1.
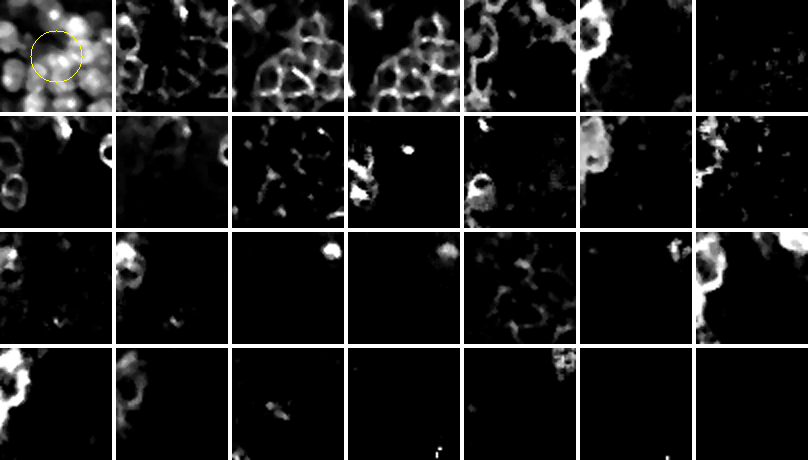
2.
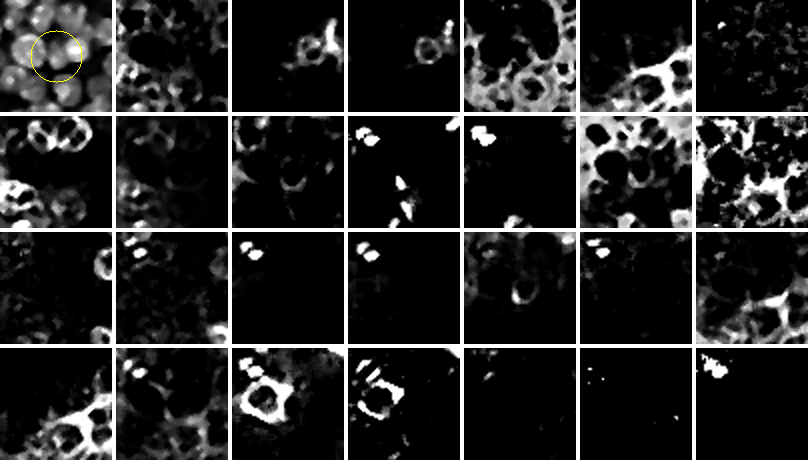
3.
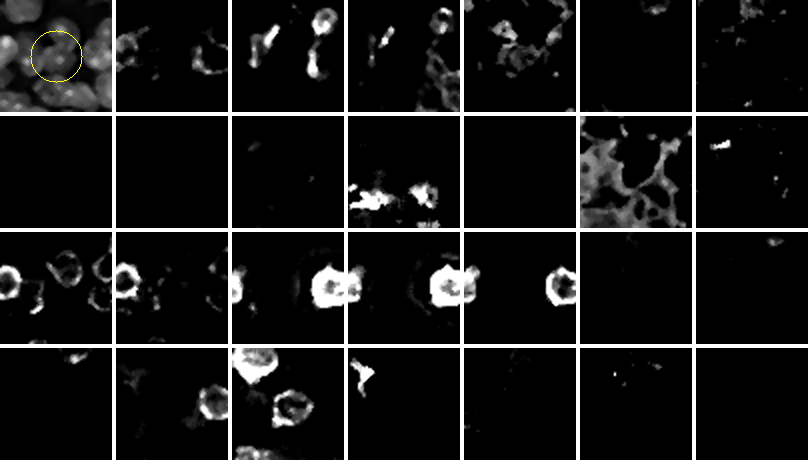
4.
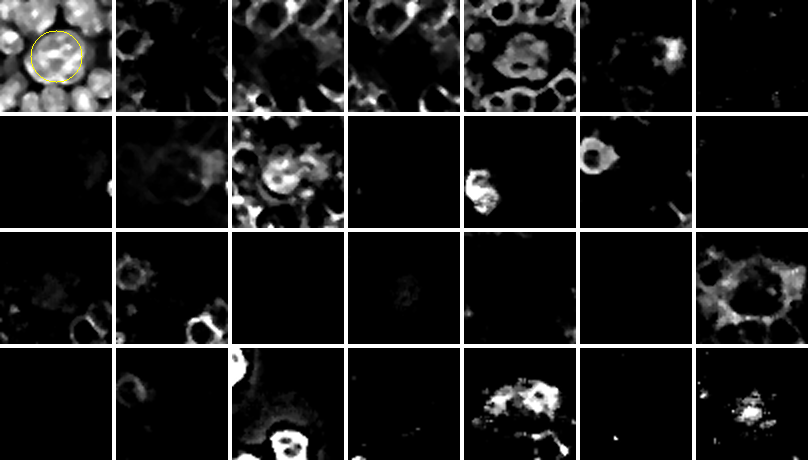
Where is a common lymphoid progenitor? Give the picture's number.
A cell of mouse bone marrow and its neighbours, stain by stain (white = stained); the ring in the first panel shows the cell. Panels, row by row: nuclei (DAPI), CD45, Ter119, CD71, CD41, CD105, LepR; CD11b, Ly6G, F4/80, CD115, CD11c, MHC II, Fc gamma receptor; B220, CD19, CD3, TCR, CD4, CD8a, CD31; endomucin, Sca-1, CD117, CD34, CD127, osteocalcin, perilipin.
4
